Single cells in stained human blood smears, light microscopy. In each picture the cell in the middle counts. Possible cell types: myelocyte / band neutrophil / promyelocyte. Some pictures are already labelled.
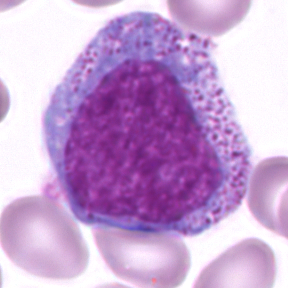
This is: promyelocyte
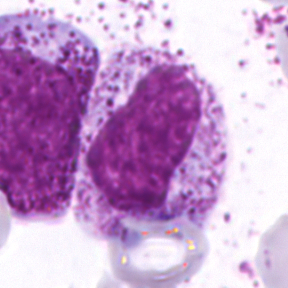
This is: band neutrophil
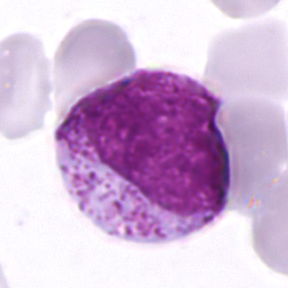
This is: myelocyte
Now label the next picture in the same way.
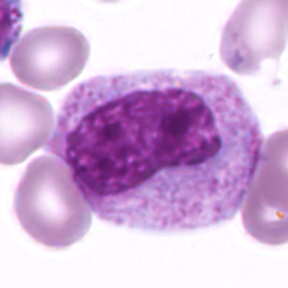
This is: myelocyte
